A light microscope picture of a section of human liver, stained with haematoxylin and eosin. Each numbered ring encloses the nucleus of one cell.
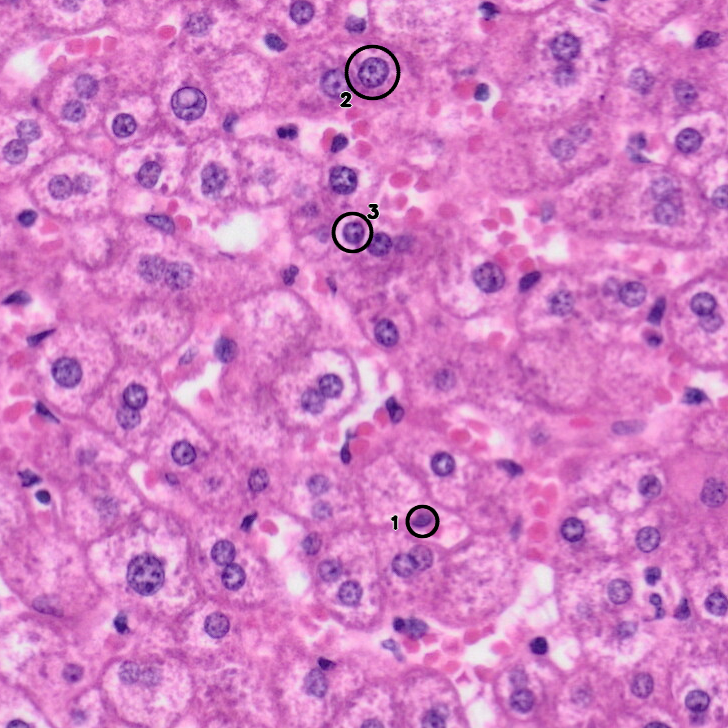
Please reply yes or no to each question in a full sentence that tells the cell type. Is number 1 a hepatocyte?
No, as for cell 1, it is a Kupffer cell and not a hepatocyte.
